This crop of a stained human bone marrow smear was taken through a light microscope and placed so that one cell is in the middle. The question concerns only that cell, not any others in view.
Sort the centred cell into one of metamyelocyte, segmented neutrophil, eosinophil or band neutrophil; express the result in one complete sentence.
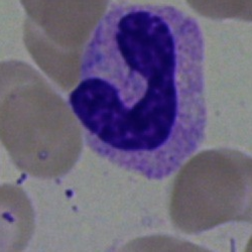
In short, the cell at the center is a band neutrophil.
